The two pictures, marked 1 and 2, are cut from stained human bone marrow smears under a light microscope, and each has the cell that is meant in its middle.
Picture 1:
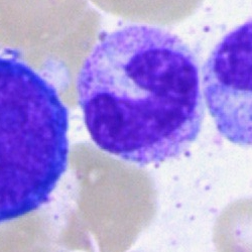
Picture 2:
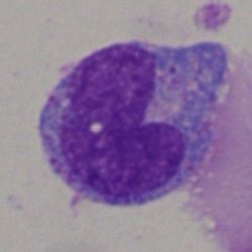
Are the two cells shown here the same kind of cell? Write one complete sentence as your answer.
No. Picture 1 shows a band neutrophil, but picture 2 shows a monocyte.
